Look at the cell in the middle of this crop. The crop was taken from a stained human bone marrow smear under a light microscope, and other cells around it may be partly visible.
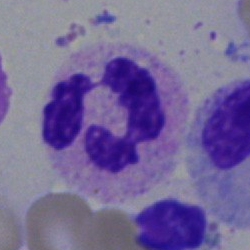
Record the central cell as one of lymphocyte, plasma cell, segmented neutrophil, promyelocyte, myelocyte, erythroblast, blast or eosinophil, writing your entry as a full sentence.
Classified as a segmented neutrophil is the cell in the middle of this crop.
